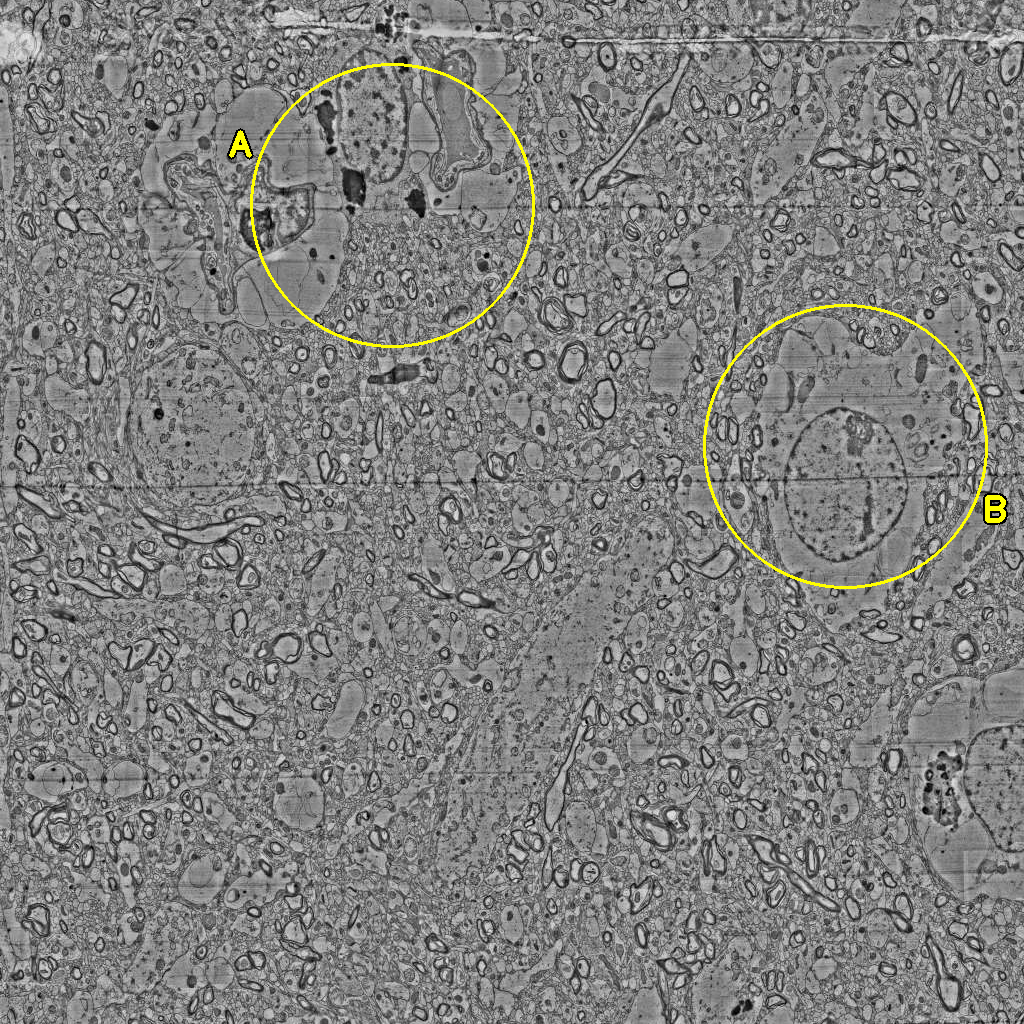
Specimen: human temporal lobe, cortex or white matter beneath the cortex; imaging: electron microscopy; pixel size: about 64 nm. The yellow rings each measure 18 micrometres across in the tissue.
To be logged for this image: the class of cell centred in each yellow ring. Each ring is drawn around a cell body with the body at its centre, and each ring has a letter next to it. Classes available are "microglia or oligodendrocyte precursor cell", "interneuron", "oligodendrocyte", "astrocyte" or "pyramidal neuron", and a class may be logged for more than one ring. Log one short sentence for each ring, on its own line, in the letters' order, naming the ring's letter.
The class recorded for ring A is an oligodendrocyte.
The class recorded for ring B is an astrocyte.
